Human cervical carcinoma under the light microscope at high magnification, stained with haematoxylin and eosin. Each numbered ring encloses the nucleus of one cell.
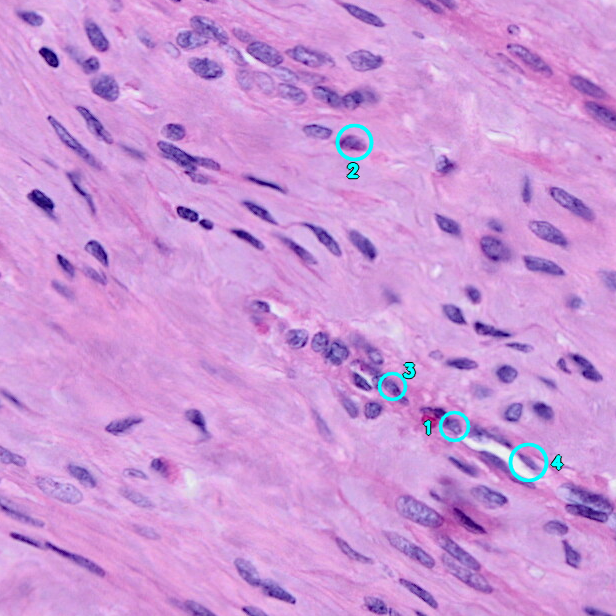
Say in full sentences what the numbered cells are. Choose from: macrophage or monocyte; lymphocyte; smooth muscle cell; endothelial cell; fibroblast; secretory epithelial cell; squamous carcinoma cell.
Cells 1, 3 and 4 are endothelial cells. Cell 2 is a smooth muscle cell.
